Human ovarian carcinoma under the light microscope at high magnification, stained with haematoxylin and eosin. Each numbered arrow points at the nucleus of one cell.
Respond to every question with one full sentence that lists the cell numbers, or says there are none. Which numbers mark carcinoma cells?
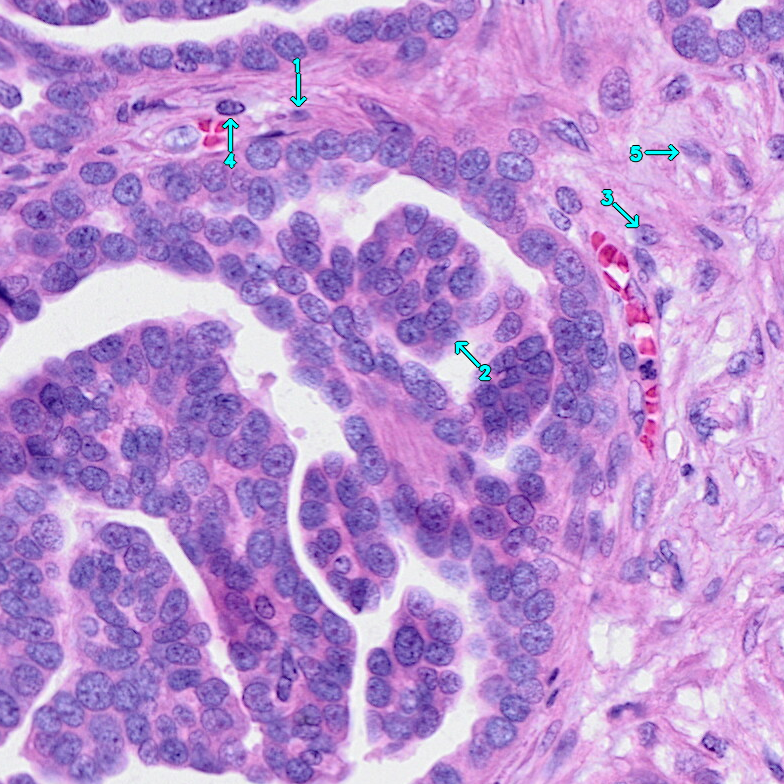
Of those with numbers, only cell 2 is a carcinoma cell.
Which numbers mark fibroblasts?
Cells 1, 3 and 5 are classified as fibroblasts.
